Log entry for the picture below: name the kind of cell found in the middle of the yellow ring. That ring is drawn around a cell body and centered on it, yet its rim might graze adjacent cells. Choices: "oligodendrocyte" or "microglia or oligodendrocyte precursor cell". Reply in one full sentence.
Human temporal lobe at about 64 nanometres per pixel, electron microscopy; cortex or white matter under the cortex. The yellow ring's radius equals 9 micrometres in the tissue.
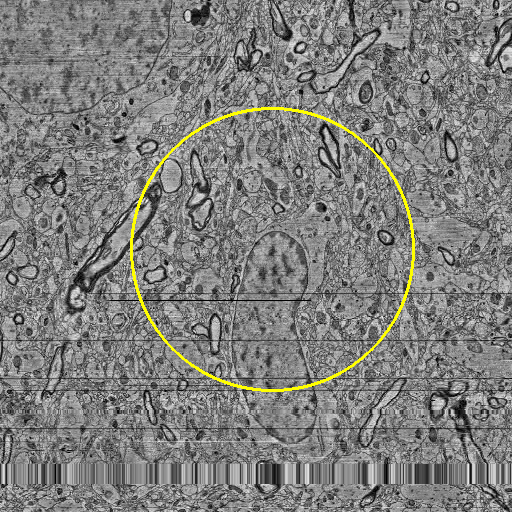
The cell in the middle of the yellow ring in this picture is a microglial cell or oligodendrocyte precursor cell.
